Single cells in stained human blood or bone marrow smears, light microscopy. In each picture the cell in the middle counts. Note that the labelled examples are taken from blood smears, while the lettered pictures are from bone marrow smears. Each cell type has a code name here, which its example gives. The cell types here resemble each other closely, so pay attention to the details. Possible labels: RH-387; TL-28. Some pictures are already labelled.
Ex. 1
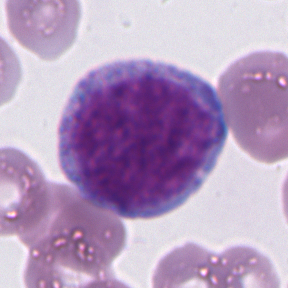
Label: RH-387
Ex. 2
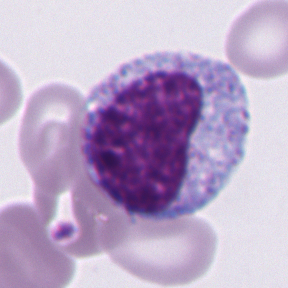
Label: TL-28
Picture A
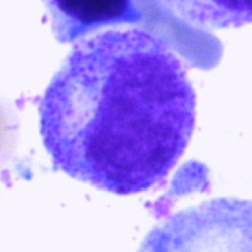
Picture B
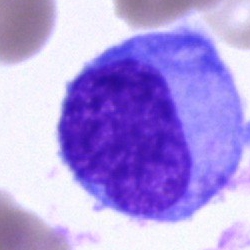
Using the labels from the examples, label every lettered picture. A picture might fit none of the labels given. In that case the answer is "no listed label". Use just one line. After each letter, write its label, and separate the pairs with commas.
A TL-28, B no listed label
